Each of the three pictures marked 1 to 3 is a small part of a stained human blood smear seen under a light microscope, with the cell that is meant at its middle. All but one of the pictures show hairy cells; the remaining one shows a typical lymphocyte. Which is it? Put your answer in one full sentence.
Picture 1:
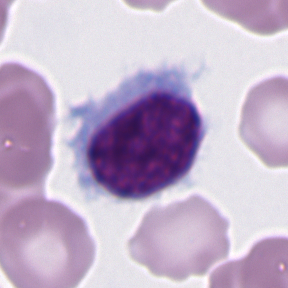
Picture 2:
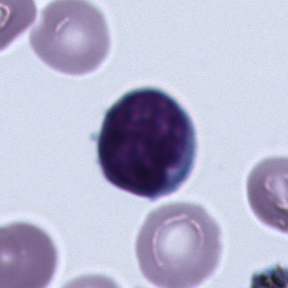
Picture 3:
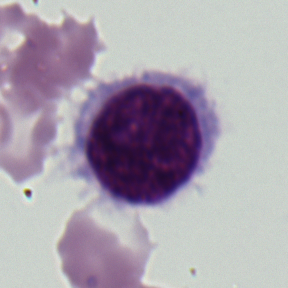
Picture 2 is the one that shows the typical lymphocyte.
